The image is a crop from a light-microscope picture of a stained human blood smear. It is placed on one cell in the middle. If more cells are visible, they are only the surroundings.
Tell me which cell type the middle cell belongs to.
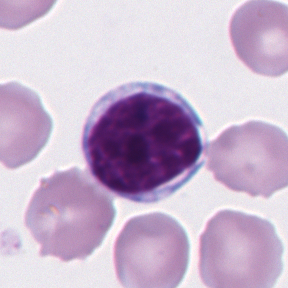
lymphocyte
